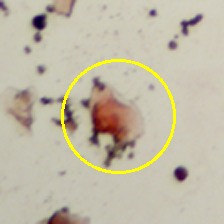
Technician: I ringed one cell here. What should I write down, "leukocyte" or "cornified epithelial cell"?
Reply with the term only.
cornified epithelial cell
